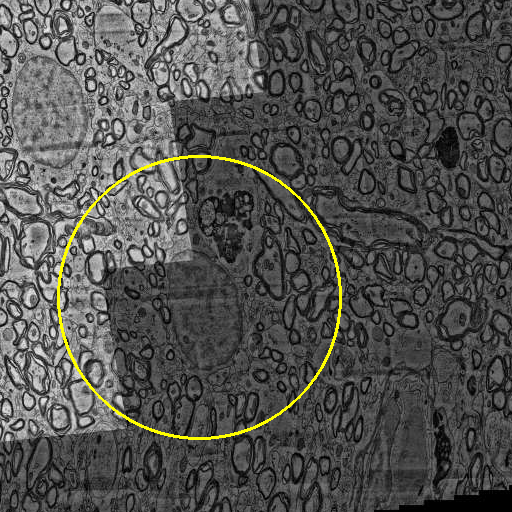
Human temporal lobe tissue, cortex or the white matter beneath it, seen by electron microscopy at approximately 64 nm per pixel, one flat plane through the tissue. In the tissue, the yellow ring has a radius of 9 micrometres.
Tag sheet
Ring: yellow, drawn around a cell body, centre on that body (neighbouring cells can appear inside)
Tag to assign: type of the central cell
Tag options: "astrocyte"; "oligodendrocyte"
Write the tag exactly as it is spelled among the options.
oligodendrocyte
